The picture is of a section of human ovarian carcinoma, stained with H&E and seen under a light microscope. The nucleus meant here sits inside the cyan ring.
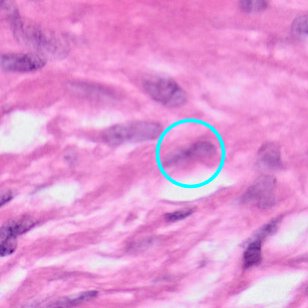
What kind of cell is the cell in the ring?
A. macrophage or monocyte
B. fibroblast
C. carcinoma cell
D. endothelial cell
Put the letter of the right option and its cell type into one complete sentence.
Hey, it is option B: the cell in the ring is a fibroblast.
